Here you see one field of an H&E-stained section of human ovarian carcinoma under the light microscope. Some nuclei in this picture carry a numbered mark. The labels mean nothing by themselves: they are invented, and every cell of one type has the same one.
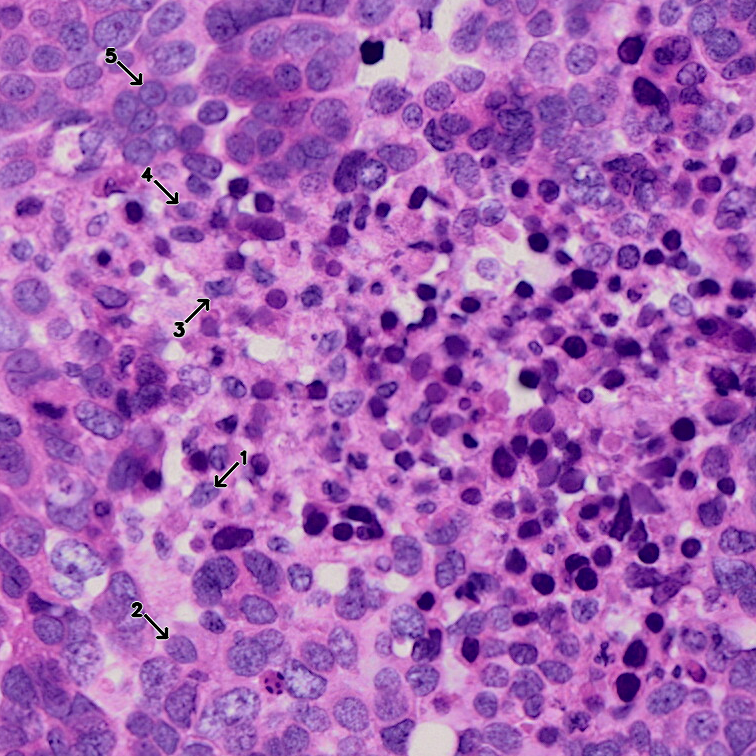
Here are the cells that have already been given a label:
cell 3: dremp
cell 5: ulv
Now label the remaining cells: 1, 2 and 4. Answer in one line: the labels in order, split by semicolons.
dremp; ulv; dremp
